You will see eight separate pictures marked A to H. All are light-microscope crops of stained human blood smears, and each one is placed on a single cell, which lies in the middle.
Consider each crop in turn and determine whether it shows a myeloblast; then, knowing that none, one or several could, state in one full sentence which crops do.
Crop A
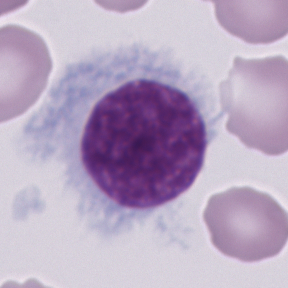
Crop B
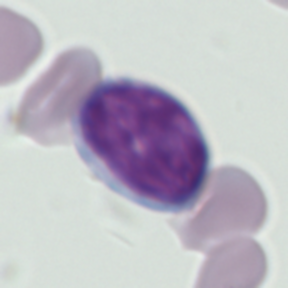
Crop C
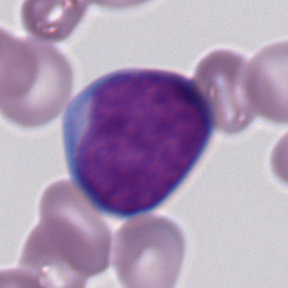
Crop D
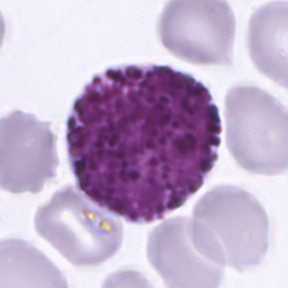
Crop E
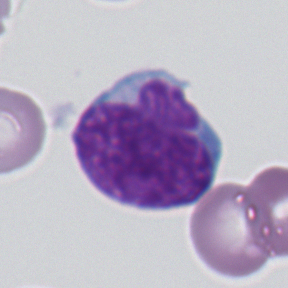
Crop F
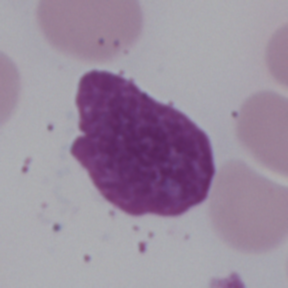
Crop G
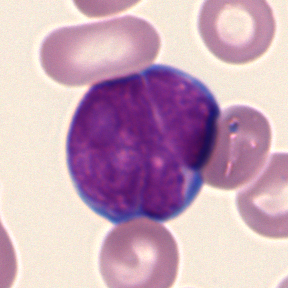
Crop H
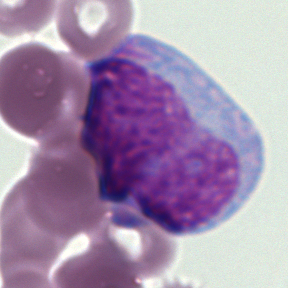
Of the crops in this set, B, C, E and G show myeloblasts.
